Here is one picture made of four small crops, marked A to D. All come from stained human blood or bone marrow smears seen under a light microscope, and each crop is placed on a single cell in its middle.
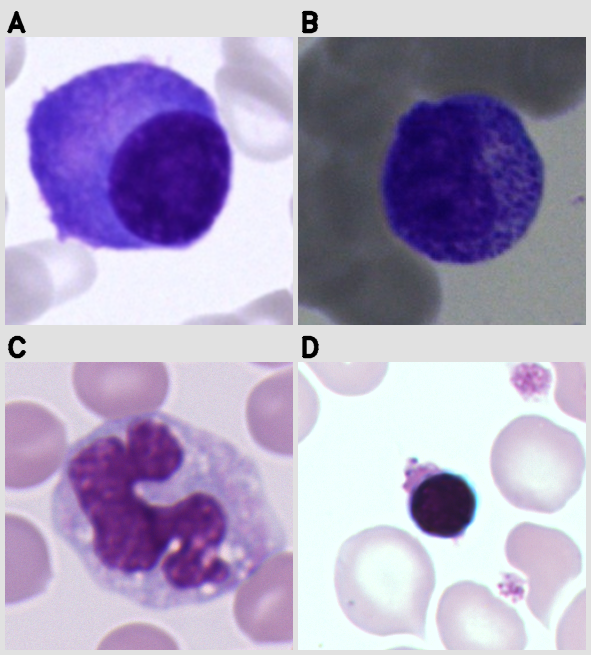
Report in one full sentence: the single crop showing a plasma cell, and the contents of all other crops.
Crop A proves to be a plasma cell, while crop B is a promyelocyte, crop C is a monocyte and crop D is an erythroblast.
